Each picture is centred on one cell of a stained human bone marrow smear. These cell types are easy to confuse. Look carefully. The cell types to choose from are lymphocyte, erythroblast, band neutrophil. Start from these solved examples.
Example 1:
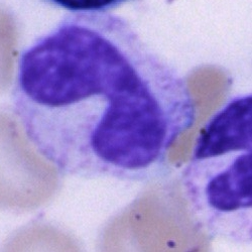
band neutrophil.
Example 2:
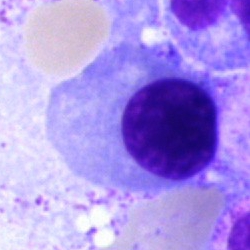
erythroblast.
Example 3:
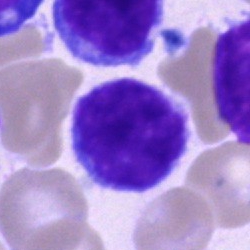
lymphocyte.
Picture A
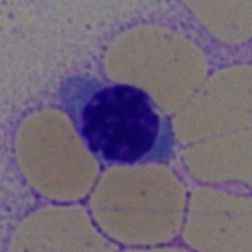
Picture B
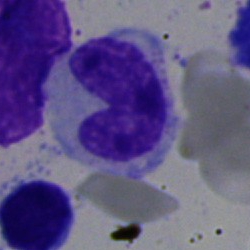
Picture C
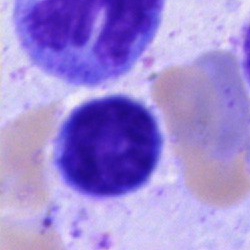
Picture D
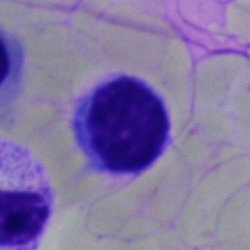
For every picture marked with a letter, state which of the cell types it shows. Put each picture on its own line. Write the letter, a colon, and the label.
A: erythroblast.
B: band neutrophil.
C: lymphocyte.
D: lymphocyte.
